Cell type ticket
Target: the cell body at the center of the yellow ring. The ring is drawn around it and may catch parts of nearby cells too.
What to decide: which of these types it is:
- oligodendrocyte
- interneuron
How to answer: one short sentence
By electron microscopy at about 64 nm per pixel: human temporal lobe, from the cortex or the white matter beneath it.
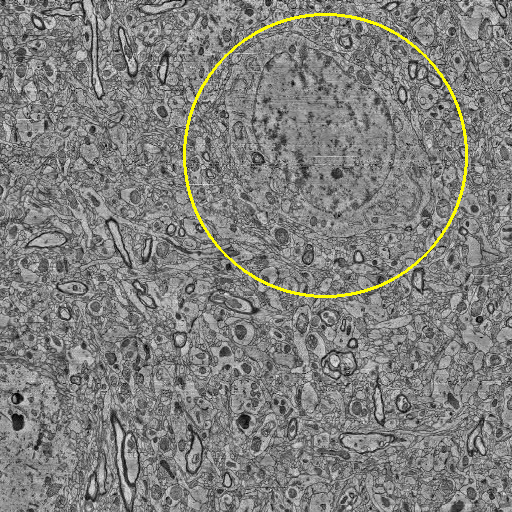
The cell at the center of the ring is an interneuron.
